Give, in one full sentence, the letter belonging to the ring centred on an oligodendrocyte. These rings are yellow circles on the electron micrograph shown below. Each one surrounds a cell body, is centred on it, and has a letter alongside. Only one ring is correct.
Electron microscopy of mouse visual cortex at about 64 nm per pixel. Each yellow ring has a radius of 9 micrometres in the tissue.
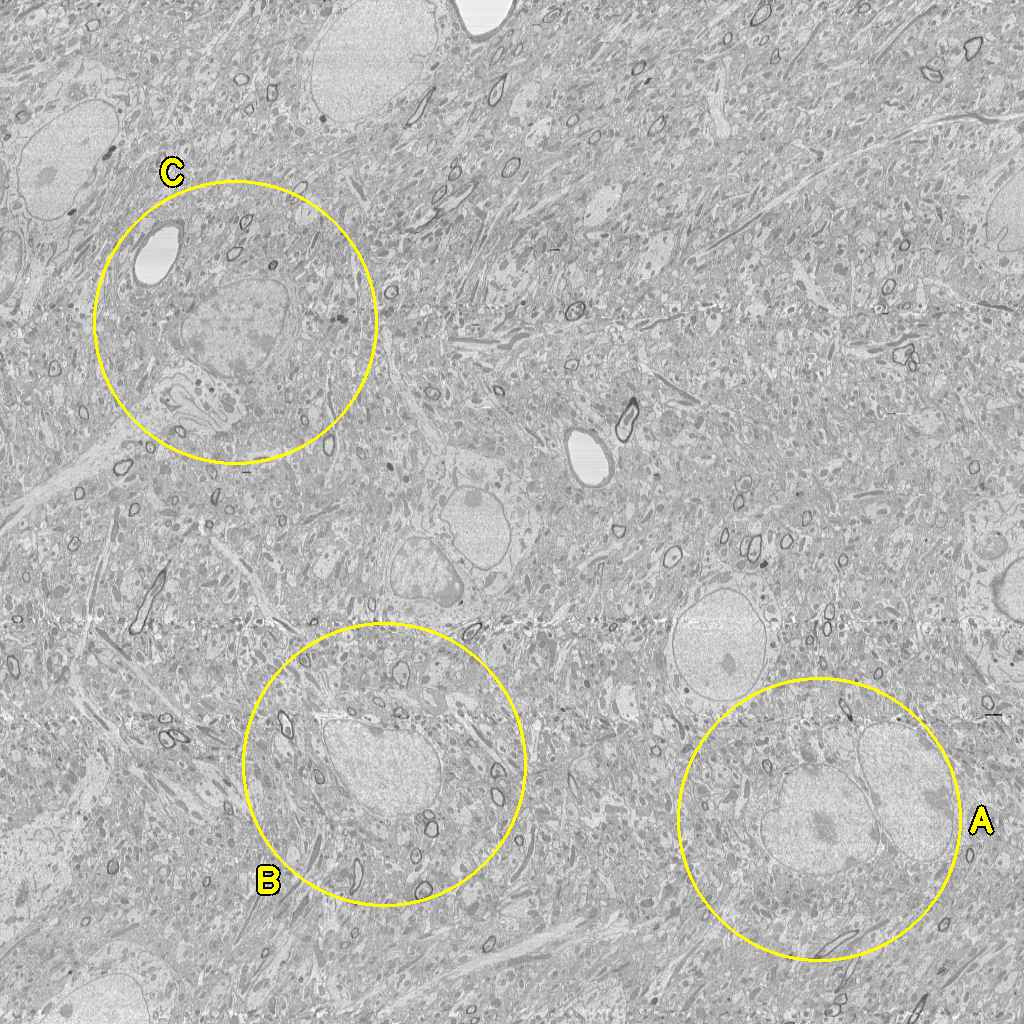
My answer is C, the ring centred on the cell asked for.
